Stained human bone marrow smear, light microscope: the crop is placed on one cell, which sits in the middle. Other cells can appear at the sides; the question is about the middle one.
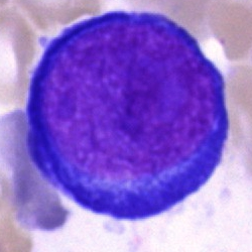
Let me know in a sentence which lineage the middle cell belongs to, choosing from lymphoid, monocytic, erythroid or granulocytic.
It is to the erythroid lineage that the middle cell belongs.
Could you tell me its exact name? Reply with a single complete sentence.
In the middle of this smear crop, the cell is a proerythroblast.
